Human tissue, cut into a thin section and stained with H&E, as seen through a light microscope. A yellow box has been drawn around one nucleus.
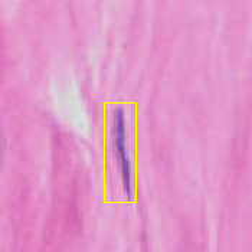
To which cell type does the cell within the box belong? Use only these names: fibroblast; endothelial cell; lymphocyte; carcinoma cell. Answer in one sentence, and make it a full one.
Among the cells in this section, the cell within the box is a fibroblast.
